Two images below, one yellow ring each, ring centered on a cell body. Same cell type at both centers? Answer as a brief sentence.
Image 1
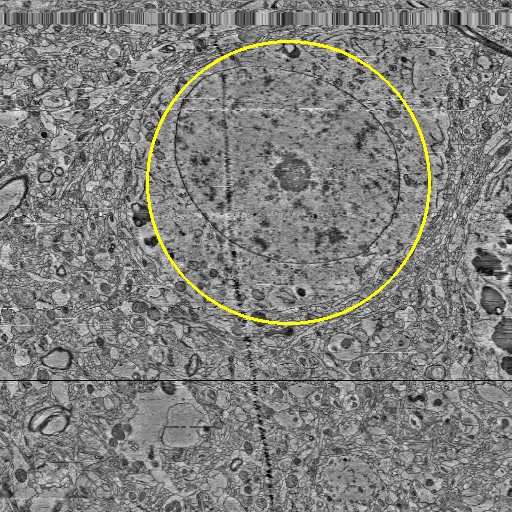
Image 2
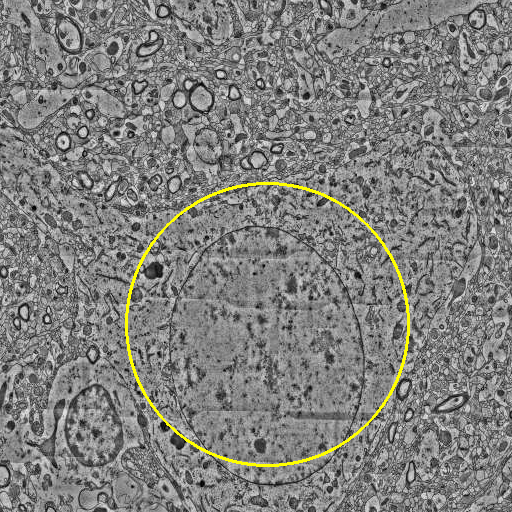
Yes, both cells are of the same type.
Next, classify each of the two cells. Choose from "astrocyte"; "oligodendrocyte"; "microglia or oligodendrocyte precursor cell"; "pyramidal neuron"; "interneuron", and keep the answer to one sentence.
Each of the ringed cells, first and second, is a pyramidal neuron.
